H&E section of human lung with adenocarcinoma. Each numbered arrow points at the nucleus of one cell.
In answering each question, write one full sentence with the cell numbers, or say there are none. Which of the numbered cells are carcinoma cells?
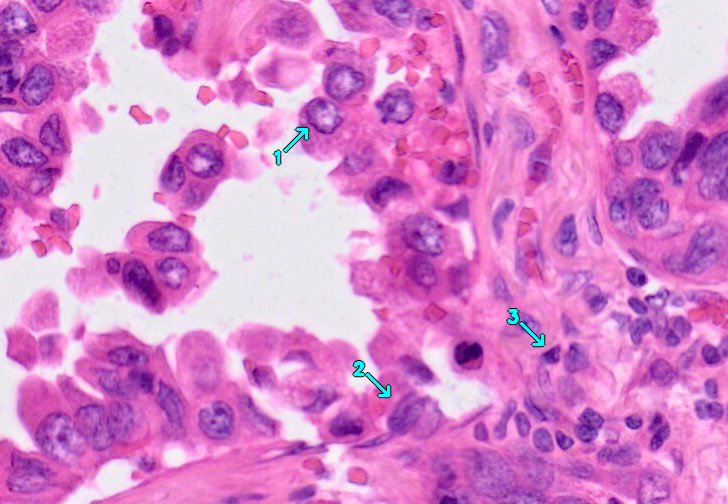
The cells tagged with numbers 1 and 2 are carcinoma cells.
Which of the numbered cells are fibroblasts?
Across all the numbered cells, fibroblasts are absent.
